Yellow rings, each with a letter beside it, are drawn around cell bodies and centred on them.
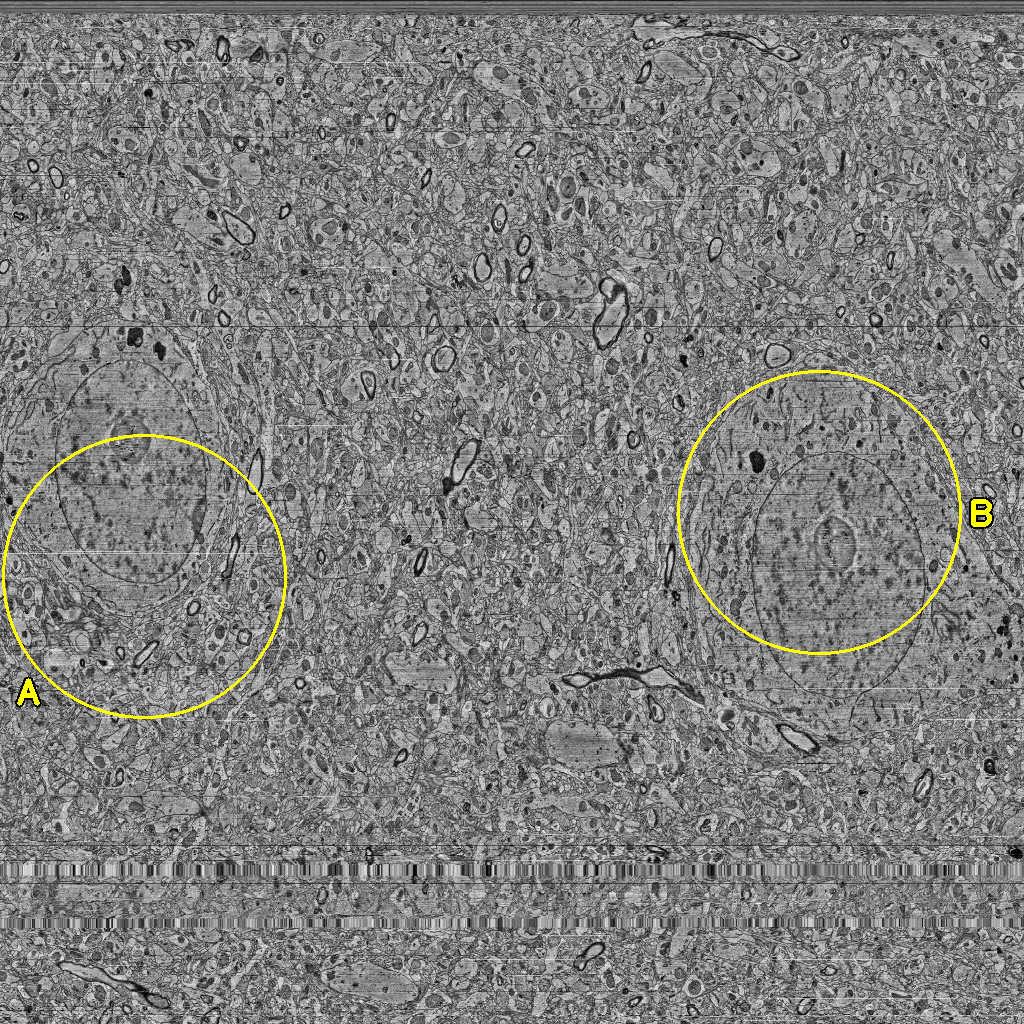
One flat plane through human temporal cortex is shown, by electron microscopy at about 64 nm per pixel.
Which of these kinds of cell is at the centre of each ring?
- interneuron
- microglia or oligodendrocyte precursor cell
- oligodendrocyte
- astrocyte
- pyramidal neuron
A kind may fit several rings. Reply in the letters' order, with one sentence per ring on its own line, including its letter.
The cell in the middle of ring A is a pyramidal neuron.
The cell in the middle of ring B is a pyramidal neuron.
